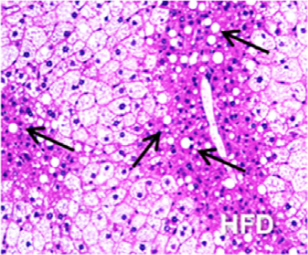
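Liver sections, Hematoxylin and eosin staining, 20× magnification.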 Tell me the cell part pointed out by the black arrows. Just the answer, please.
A: Fat vacuoles.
